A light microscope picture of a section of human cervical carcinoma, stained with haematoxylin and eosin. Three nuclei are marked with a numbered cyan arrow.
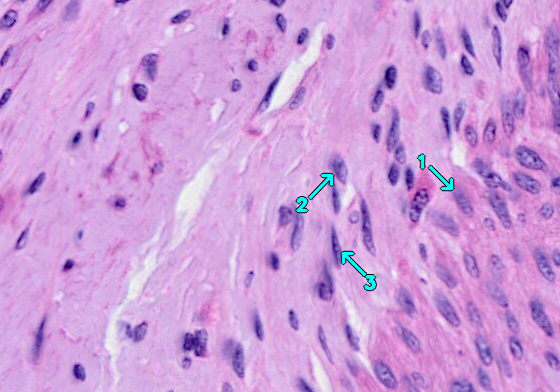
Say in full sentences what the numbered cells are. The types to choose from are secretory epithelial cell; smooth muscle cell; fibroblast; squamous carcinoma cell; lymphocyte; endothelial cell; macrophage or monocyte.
Cell 1 is a smooth muscle cell, cell 2 is a fibroblast and cell 3 is a fibroblast.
